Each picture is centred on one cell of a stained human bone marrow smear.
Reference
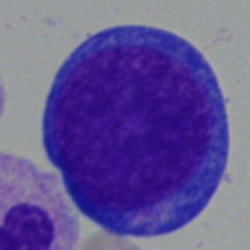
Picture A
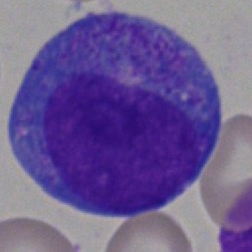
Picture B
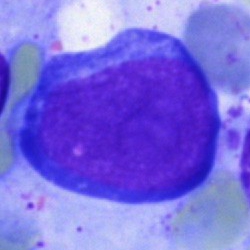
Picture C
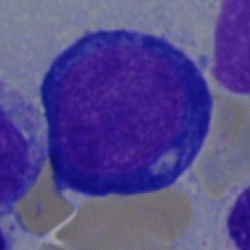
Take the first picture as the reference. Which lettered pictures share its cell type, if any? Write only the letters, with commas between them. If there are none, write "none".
B, C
